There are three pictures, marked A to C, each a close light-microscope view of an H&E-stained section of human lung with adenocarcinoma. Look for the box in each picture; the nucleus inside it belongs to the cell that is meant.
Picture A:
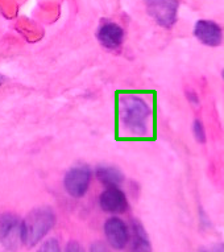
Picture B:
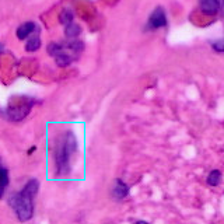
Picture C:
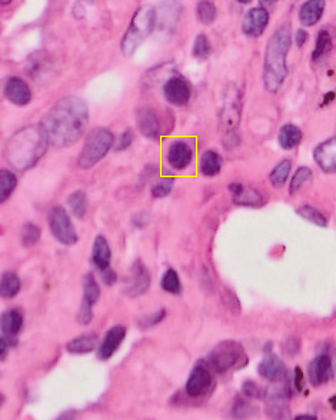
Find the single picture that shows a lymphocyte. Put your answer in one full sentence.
The cell in picture C is the lymphocyte.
